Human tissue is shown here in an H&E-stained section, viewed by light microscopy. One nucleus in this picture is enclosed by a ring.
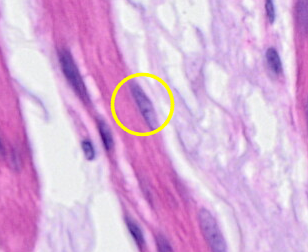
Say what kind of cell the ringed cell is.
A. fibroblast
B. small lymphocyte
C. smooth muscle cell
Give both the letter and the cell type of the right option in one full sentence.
The correct option is C, and the ringed cell is a smooth muscle cell.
